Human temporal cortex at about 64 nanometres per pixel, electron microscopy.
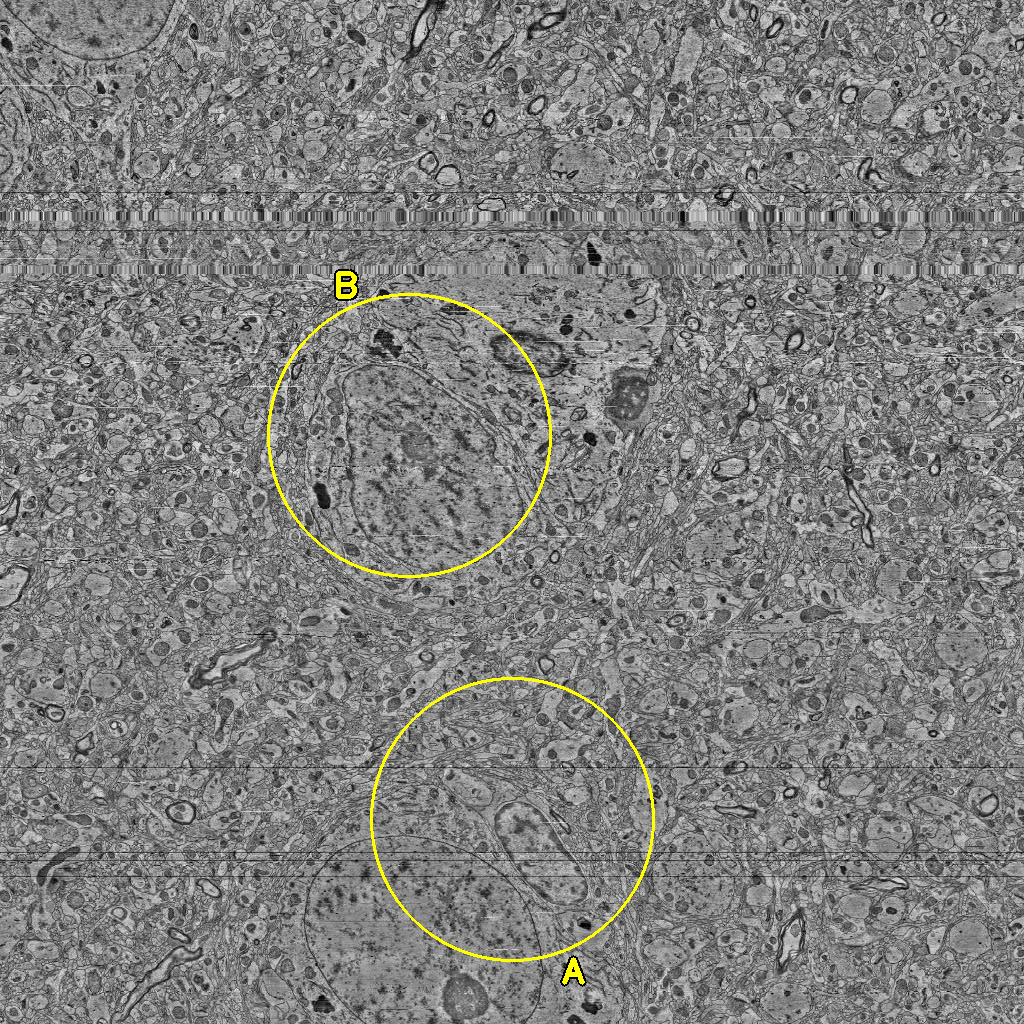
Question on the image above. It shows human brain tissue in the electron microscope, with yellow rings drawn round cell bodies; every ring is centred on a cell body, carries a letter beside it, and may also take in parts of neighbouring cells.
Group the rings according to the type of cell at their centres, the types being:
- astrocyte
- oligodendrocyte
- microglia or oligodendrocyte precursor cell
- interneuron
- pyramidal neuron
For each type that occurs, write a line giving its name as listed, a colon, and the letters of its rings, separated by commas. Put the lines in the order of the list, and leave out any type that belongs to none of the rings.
microglia or oligodendrocyte precursor cell: A
interneuron: B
